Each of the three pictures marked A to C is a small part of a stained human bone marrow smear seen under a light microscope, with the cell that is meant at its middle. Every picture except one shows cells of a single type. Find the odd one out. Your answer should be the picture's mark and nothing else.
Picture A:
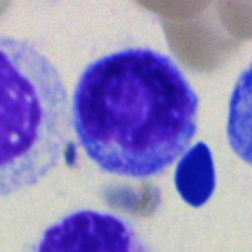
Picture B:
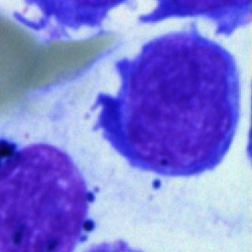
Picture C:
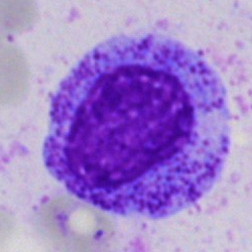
C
